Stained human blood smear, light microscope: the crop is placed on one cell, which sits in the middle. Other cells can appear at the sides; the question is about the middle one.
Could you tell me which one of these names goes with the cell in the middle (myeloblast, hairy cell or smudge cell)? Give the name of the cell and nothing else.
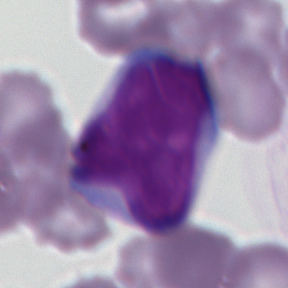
myeloblast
